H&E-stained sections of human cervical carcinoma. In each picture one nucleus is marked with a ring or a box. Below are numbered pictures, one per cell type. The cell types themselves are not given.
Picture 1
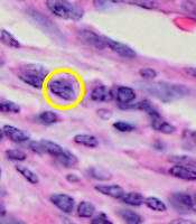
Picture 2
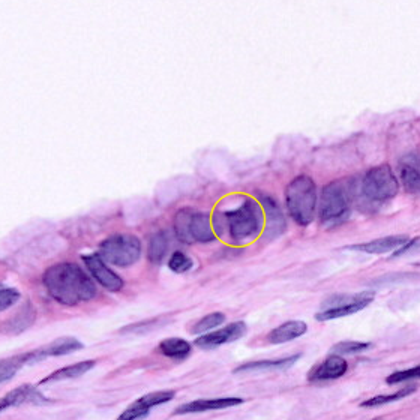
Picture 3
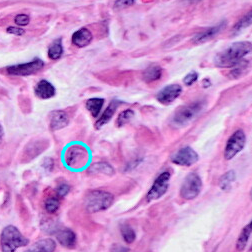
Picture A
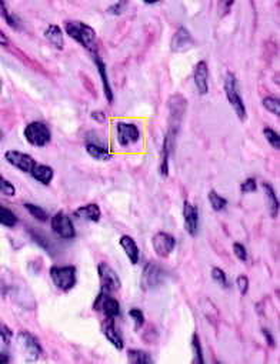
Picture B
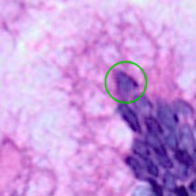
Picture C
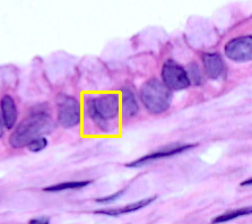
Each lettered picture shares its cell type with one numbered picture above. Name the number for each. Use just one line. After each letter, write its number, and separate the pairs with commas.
A 1, B 2, C 2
